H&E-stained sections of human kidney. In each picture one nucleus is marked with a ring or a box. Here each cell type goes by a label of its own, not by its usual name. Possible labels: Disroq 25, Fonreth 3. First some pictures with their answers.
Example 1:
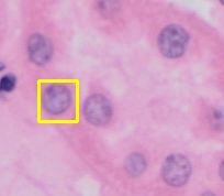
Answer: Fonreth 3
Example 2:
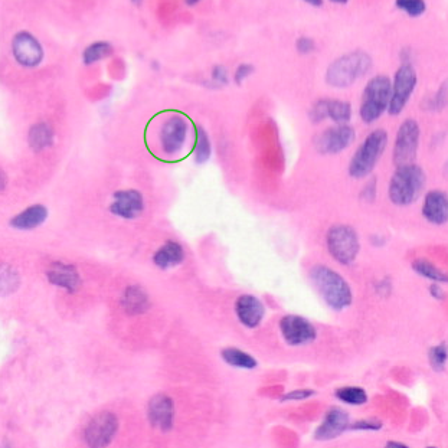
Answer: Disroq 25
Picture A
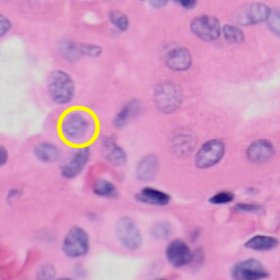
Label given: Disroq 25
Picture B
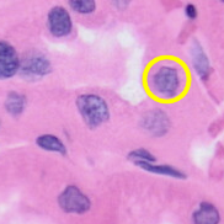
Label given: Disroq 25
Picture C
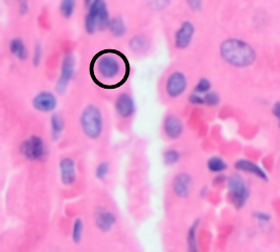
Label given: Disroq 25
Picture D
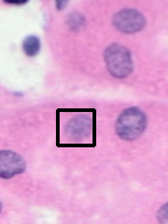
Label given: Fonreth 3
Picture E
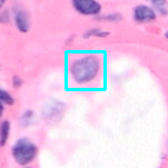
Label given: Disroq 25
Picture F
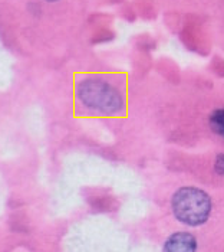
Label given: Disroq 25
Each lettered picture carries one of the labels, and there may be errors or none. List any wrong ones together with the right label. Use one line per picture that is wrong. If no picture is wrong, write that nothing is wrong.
F: not Disroq 25 but Fonreth 3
